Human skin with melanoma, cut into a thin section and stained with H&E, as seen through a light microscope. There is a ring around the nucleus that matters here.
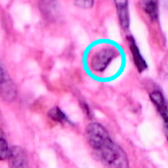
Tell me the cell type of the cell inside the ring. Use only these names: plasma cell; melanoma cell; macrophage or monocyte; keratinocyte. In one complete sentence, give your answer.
It is as a macrophage or monocyte that the cell inside the ring is recorded.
